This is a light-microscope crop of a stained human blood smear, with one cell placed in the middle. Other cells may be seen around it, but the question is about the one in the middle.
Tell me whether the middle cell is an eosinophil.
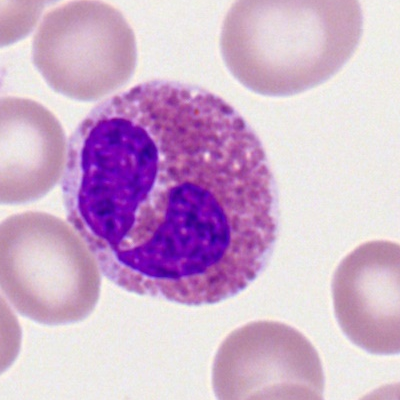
yes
